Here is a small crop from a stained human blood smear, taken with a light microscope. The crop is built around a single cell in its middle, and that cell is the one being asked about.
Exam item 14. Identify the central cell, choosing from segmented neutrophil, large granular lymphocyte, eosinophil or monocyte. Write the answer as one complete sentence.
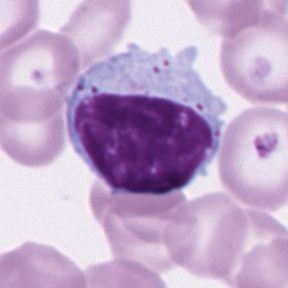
The cell in the middle of the field of view is a large granular lymphocyte.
